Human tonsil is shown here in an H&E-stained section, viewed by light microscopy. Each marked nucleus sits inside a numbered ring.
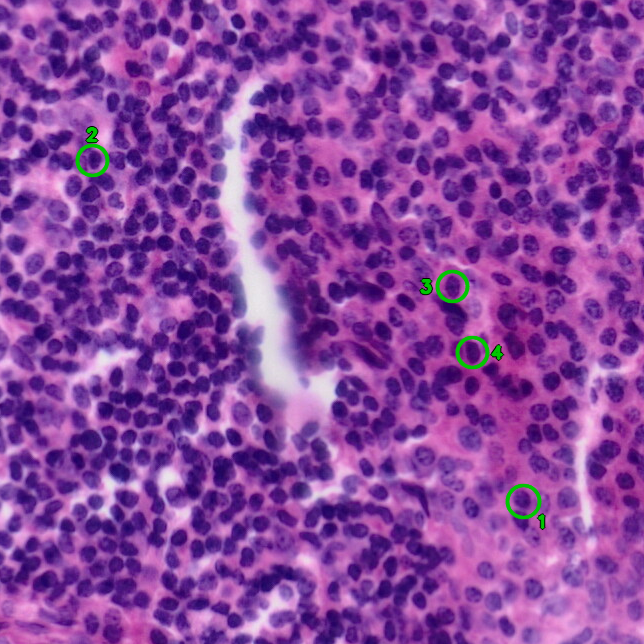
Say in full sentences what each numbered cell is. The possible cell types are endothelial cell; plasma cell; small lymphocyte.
Cell 1 is a plasma cell, cell 2 is a small lymphocyte, cell 3 is a plasma cell and cell 4 is a plasma cell.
